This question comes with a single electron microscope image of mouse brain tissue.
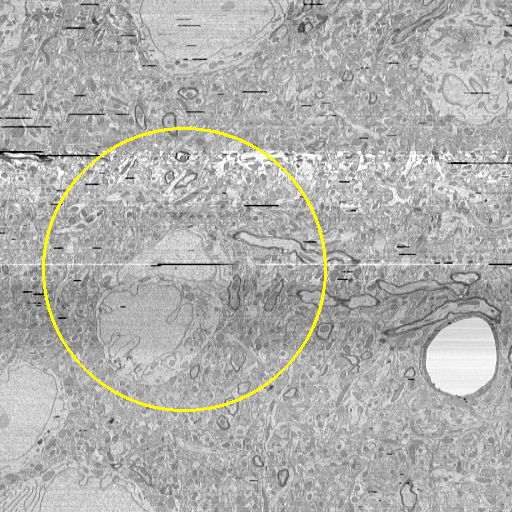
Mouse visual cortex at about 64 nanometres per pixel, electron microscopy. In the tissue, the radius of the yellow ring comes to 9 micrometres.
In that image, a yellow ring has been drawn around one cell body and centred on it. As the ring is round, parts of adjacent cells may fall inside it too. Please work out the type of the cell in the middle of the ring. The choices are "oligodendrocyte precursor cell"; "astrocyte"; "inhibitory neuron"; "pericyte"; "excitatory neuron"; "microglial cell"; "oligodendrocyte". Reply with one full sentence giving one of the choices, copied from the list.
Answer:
Of the choices, an oligodendrocyte precursor cell is the cell sitting in the middle of the ring.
